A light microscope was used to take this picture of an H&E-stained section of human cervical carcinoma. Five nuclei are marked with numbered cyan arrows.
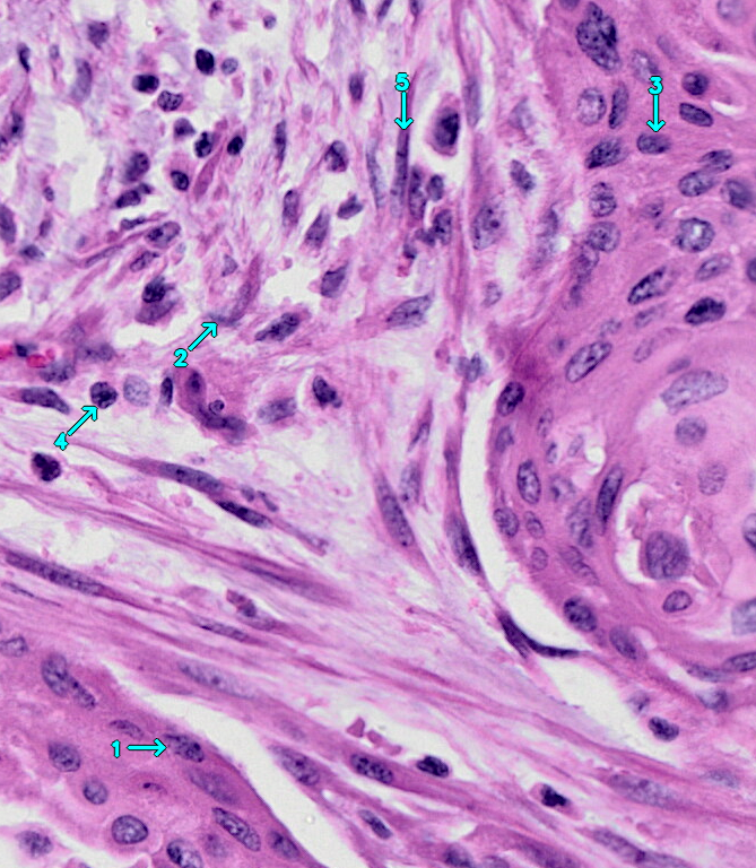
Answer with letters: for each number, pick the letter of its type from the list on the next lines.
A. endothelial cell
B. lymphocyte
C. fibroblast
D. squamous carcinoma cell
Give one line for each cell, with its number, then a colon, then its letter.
1: D
2: C
3: D
4: B
5: C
